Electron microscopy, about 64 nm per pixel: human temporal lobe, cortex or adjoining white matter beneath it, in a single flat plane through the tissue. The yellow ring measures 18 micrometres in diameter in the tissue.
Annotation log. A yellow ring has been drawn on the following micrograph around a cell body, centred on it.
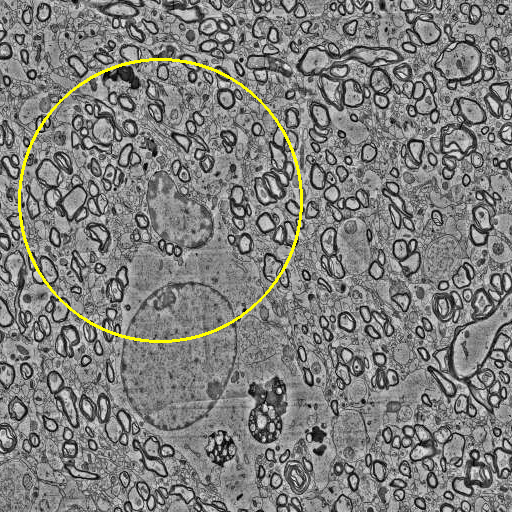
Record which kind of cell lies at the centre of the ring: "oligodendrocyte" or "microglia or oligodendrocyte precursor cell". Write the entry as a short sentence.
The cell the ring is centred on is a microglial cell or oligodendrocyte precursor cell.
